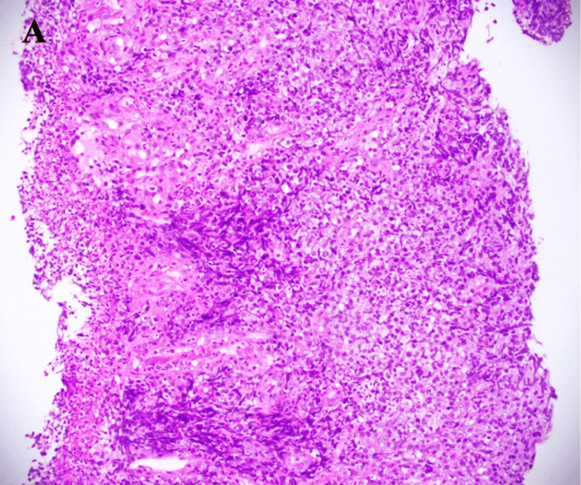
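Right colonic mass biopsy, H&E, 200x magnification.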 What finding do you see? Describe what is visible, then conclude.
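The whole biopsy core is filled by a sheet of crowded cells. No normal mucosal architecture or glands are recognizable. That points to this answer: diffuse infiltrate.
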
